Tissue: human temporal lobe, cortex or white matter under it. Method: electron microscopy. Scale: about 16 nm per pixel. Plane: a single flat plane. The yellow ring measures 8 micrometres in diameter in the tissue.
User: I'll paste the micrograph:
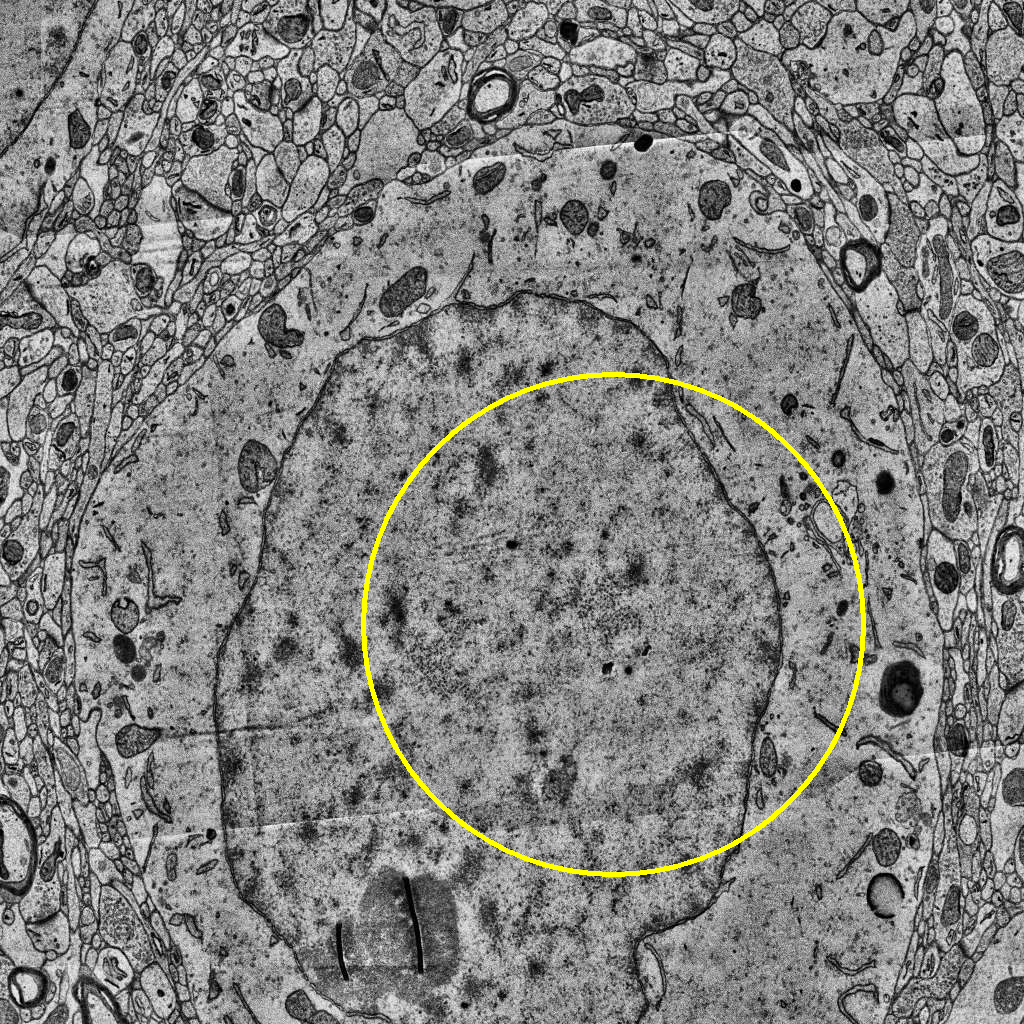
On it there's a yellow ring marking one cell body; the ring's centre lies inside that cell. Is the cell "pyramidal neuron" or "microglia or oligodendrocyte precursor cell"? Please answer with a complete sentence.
The cell at the centre of the yellow ring is a pyramidal neuron.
